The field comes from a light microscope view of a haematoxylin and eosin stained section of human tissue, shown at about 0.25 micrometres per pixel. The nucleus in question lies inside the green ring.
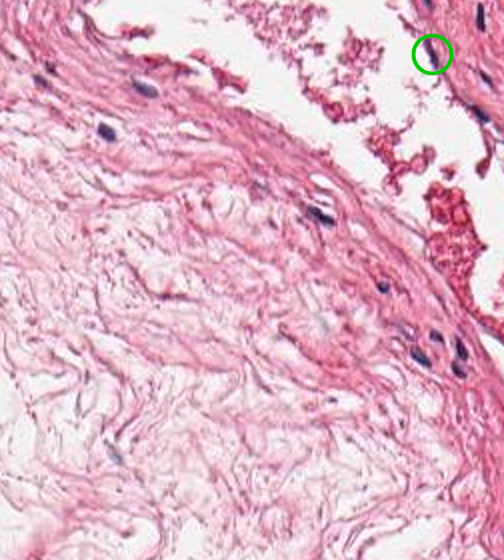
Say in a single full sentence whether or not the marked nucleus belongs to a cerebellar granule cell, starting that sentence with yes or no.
No, the cell to which the marked nucleus belongs is a supporting cell rather than a cerebellar granule cell.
